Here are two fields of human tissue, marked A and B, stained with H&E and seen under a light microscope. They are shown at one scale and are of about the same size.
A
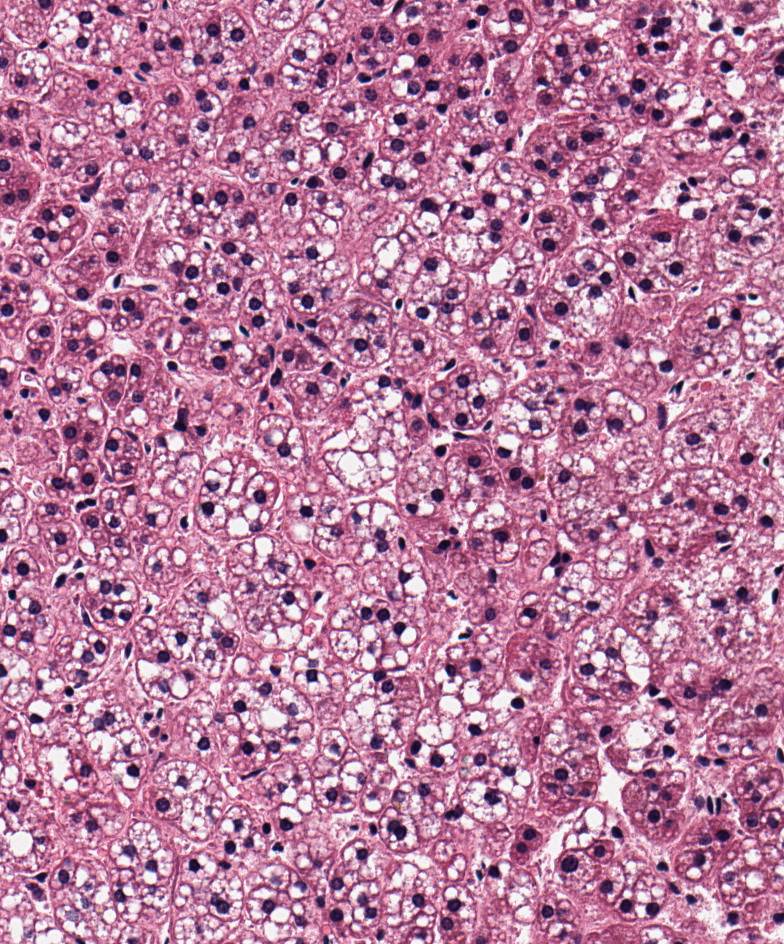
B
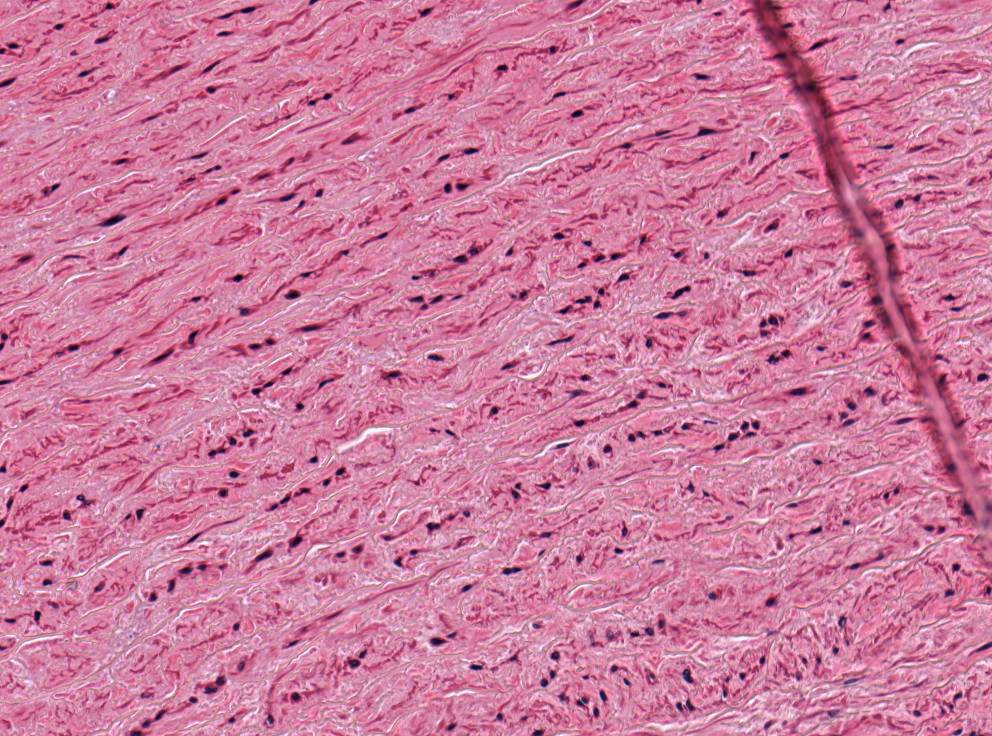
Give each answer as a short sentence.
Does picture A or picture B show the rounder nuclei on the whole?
It is picture A whose nuclei are the rounder.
